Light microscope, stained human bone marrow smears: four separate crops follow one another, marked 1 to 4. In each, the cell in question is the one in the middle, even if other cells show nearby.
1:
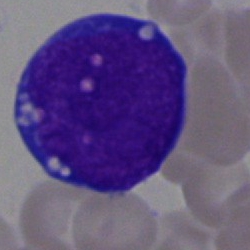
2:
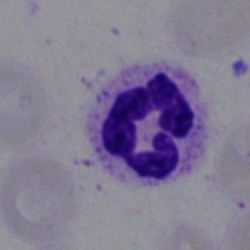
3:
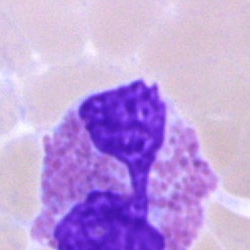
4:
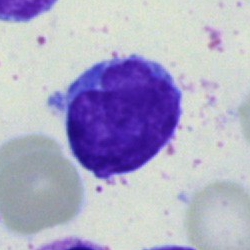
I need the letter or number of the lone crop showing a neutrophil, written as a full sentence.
Crop 2 is the single crop that shows a neutrophil.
